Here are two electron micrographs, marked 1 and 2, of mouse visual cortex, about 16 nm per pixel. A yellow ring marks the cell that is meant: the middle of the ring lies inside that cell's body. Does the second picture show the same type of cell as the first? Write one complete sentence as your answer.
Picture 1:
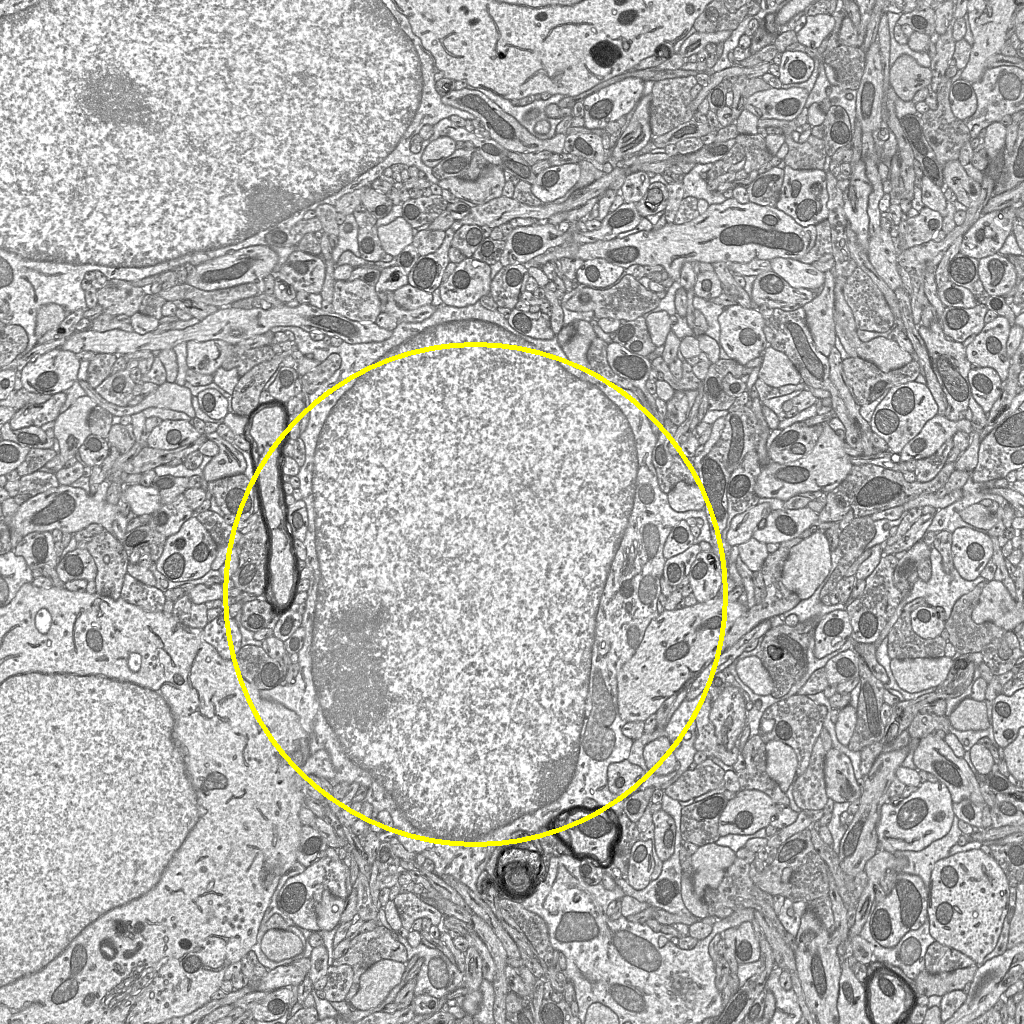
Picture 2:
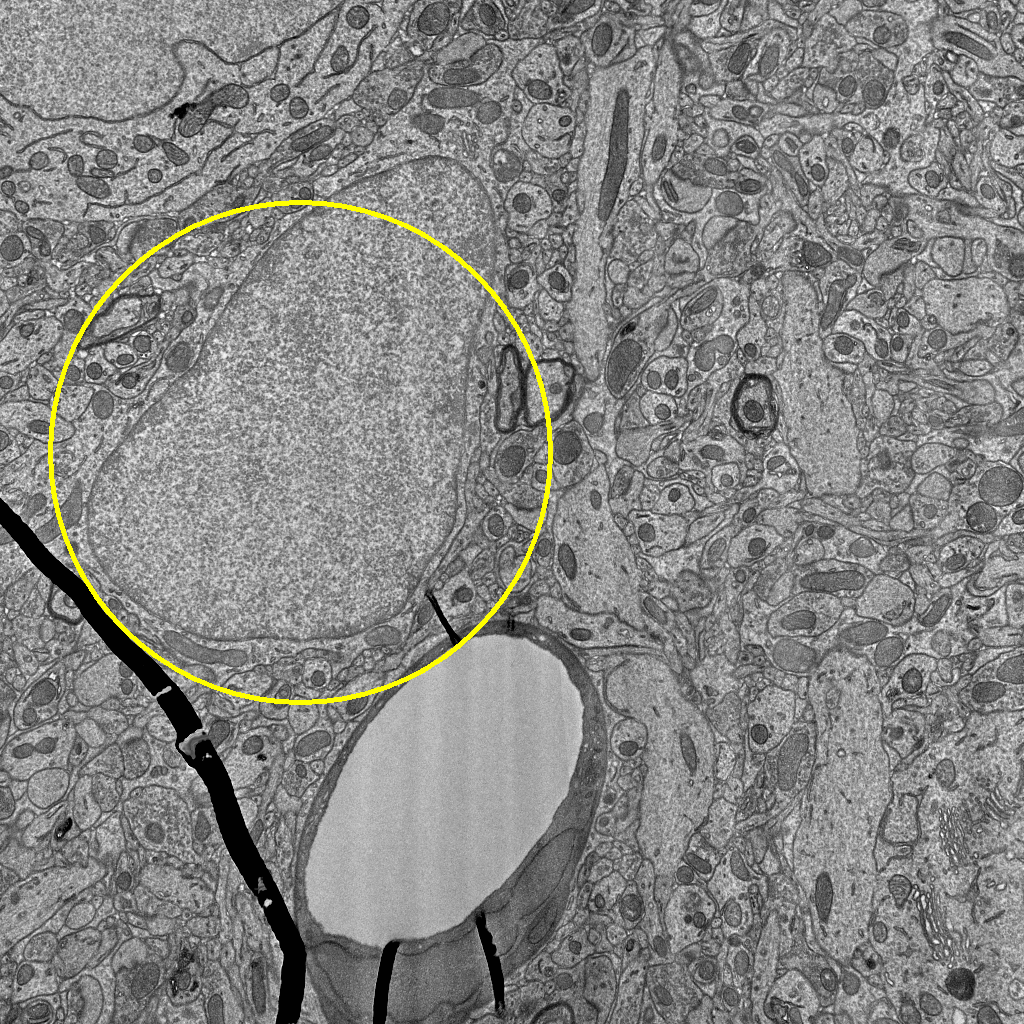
Yes, both cells are astrocytes.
